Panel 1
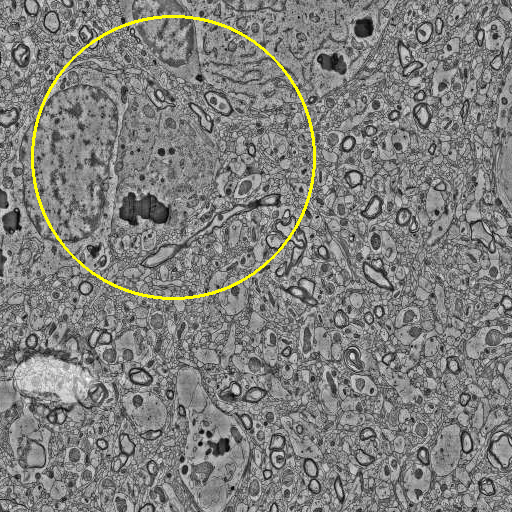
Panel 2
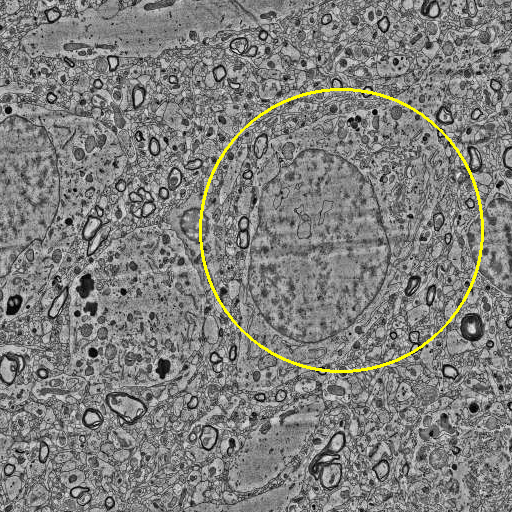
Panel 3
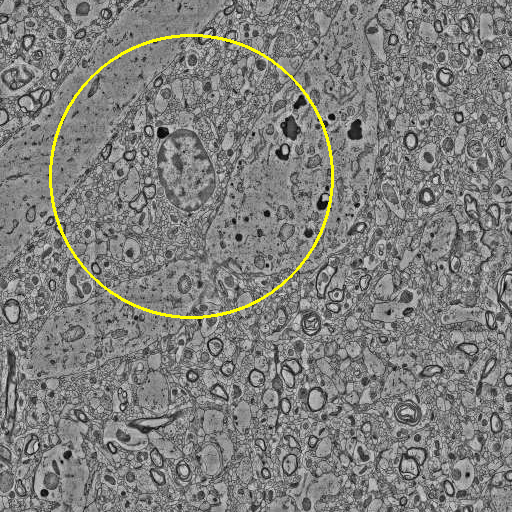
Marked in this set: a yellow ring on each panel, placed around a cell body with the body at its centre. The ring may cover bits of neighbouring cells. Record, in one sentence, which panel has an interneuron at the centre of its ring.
Panel 2 has it at the centre of its ring.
